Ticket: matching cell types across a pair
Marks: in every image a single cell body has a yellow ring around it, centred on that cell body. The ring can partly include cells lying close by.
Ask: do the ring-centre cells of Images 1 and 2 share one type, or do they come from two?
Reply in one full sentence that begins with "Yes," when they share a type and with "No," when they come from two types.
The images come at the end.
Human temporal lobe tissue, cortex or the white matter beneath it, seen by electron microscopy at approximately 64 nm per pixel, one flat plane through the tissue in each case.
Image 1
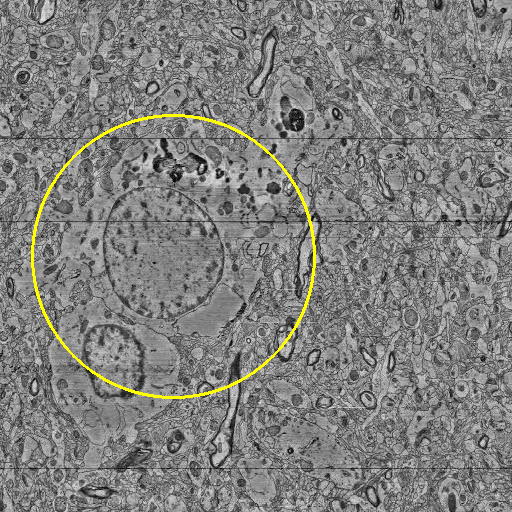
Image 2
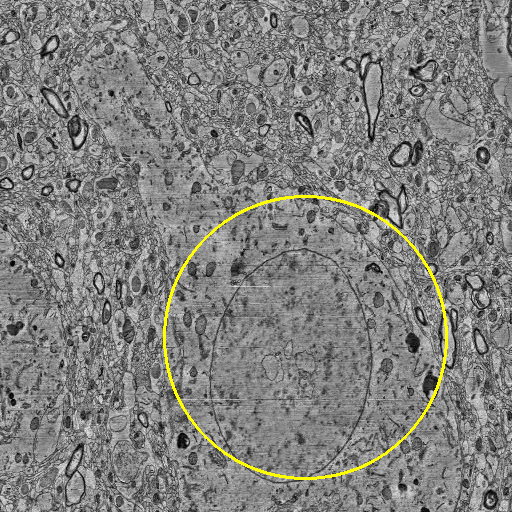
No, the cells in the centres of the rings in Image 1 and Image 2 come from two types.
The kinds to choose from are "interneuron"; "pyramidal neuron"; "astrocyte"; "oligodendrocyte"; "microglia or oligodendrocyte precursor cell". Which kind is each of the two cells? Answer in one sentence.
Of the two, the first cell is an astrocyte and the second cell is a pyramidal neuron.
